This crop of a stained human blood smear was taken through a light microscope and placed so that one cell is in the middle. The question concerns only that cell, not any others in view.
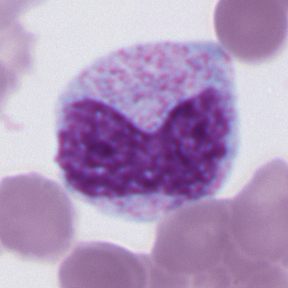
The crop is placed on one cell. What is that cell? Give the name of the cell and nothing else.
band neutrophil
